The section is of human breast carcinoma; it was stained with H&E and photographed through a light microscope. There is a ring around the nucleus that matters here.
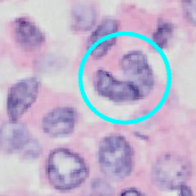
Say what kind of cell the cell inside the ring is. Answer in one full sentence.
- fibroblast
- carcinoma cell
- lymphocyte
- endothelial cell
Labelled by cell type, the cell inside the ring is a carcinoma cell.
